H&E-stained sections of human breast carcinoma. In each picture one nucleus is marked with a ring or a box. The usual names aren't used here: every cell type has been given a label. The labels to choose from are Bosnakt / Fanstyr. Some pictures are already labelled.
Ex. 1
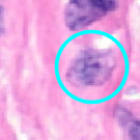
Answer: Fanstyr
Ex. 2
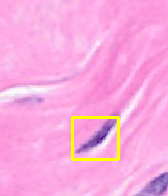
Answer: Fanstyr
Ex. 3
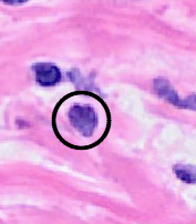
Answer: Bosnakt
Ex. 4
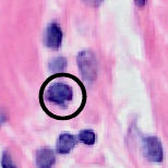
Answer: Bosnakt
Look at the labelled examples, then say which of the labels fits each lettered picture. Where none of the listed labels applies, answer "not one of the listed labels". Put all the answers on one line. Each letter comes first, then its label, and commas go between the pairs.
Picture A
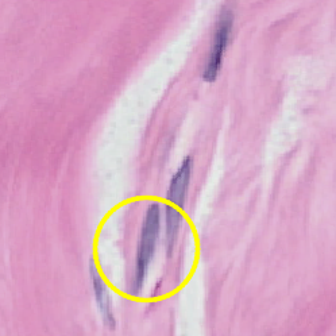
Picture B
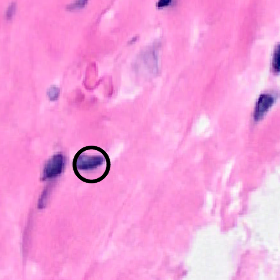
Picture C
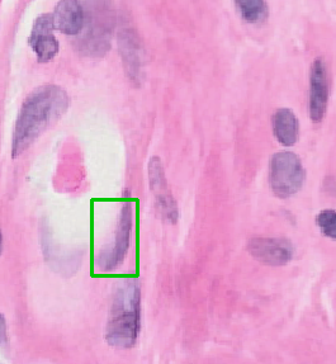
A not one of the listed labels, B Bosnakt, C not one of the listed labels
